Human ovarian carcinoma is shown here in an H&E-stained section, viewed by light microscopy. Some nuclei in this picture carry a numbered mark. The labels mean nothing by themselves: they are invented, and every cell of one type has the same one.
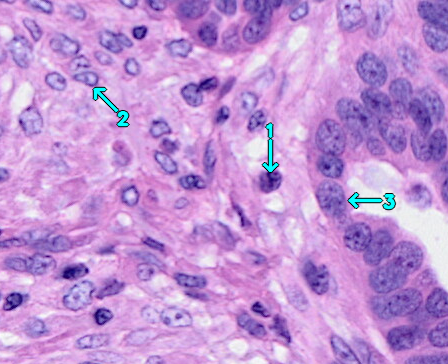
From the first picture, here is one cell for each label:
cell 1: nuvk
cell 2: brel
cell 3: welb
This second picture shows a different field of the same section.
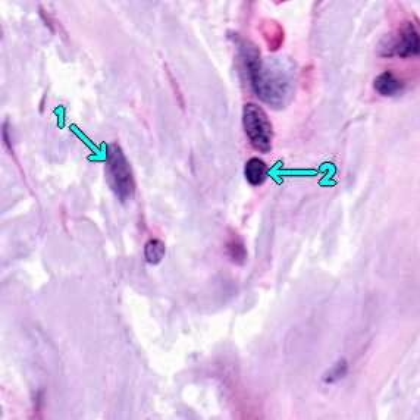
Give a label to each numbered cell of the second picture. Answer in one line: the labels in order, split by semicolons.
brel; nuvk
